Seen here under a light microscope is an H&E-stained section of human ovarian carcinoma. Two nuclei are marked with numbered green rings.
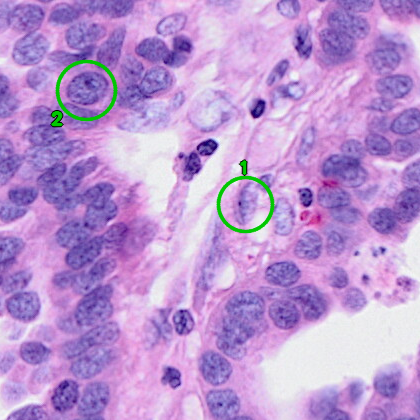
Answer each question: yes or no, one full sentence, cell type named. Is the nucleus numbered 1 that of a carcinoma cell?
No, cell 1 is not a carcinoma cell; a fibroblast is the correct identification.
